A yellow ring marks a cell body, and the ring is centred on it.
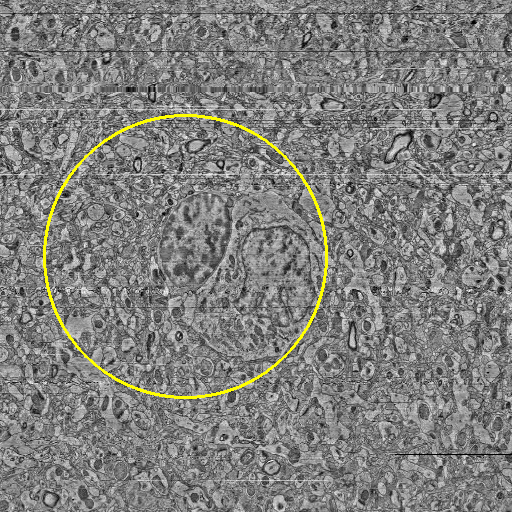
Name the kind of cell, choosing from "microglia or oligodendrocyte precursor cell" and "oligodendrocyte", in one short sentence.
The marked cell body belongs to an oligodendrocyte.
